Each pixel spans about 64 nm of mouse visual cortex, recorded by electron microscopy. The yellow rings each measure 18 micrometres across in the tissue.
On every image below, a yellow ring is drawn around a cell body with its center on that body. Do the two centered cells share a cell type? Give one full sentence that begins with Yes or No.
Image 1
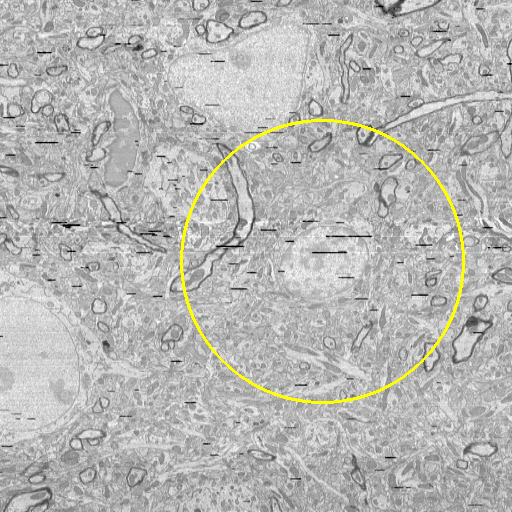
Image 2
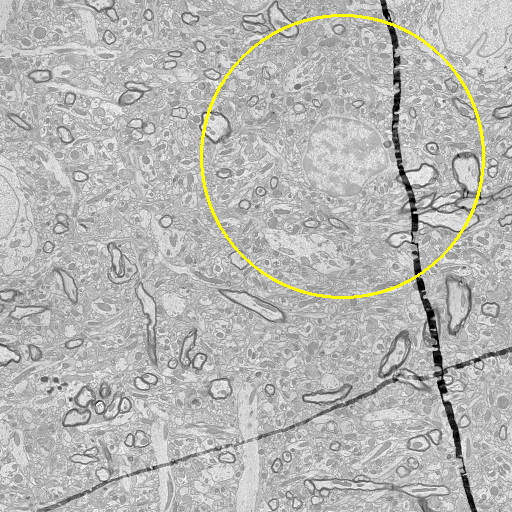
Yes, the centered cells in the two images are of a single cell type.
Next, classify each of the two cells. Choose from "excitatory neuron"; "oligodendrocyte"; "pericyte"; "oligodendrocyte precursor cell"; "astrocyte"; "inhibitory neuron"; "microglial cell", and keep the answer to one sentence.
Each cell at the centre of a ring is an oligodendrocyte.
